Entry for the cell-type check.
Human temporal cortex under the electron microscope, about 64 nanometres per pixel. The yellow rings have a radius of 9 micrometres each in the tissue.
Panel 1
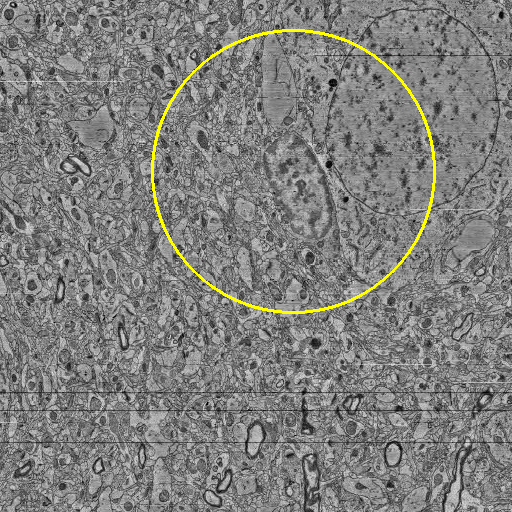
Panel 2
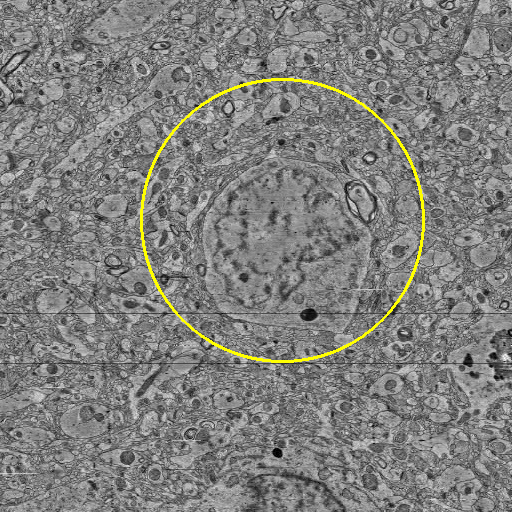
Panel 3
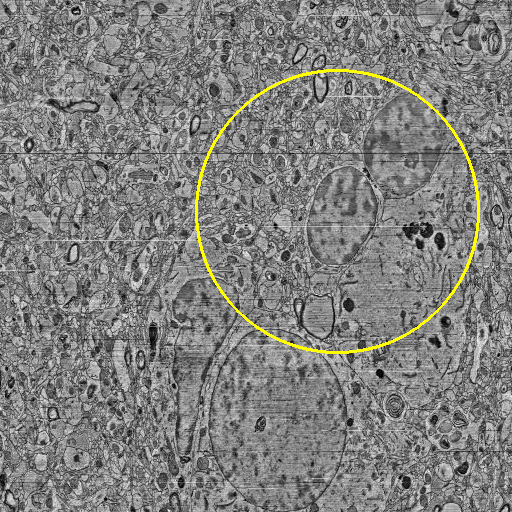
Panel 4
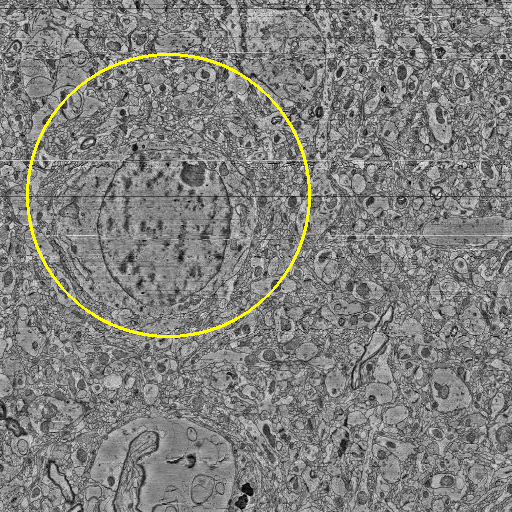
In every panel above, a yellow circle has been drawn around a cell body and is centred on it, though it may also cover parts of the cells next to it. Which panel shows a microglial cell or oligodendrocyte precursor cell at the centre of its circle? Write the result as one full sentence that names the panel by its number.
Panel 3 shows it at the centre of its circle.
